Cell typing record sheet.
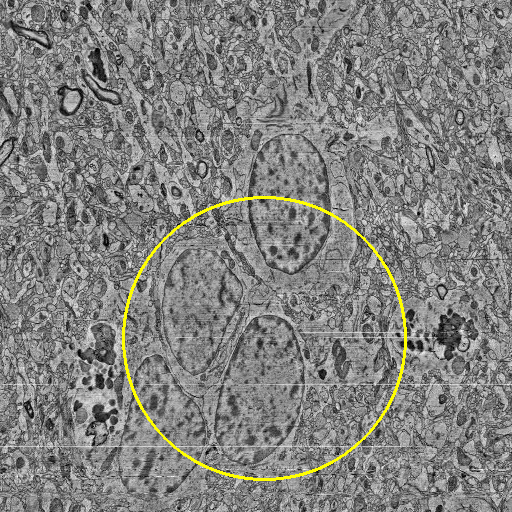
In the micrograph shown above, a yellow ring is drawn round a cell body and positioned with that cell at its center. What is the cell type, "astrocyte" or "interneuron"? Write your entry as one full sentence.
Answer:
The cell body at the center of the ring belongs to an astrocyte.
